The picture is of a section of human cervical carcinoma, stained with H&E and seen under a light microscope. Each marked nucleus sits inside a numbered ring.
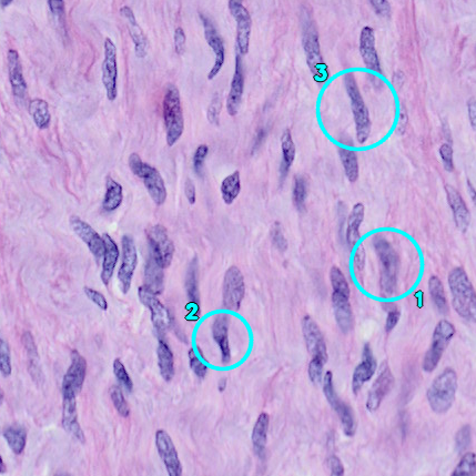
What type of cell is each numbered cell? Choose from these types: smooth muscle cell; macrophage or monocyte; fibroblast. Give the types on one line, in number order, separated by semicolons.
smooth muscle cell; fibroblast; fibroblast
